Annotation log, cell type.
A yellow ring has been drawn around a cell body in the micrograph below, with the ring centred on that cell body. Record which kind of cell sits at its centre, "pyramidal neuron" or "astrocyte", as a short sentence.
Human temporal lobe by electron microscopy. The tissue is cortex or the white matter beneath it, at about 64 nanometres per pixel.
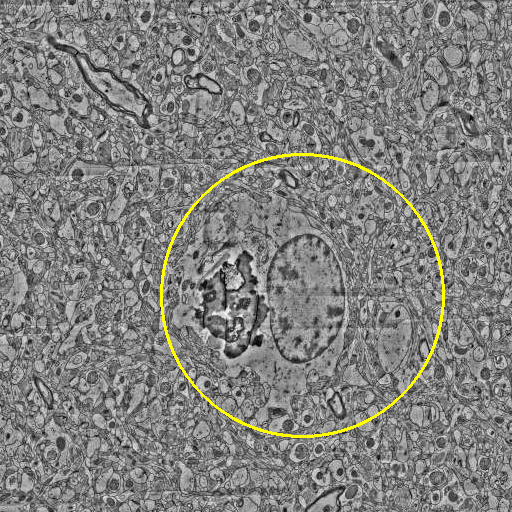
The cell at the centre of this ring is an astrocyte.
